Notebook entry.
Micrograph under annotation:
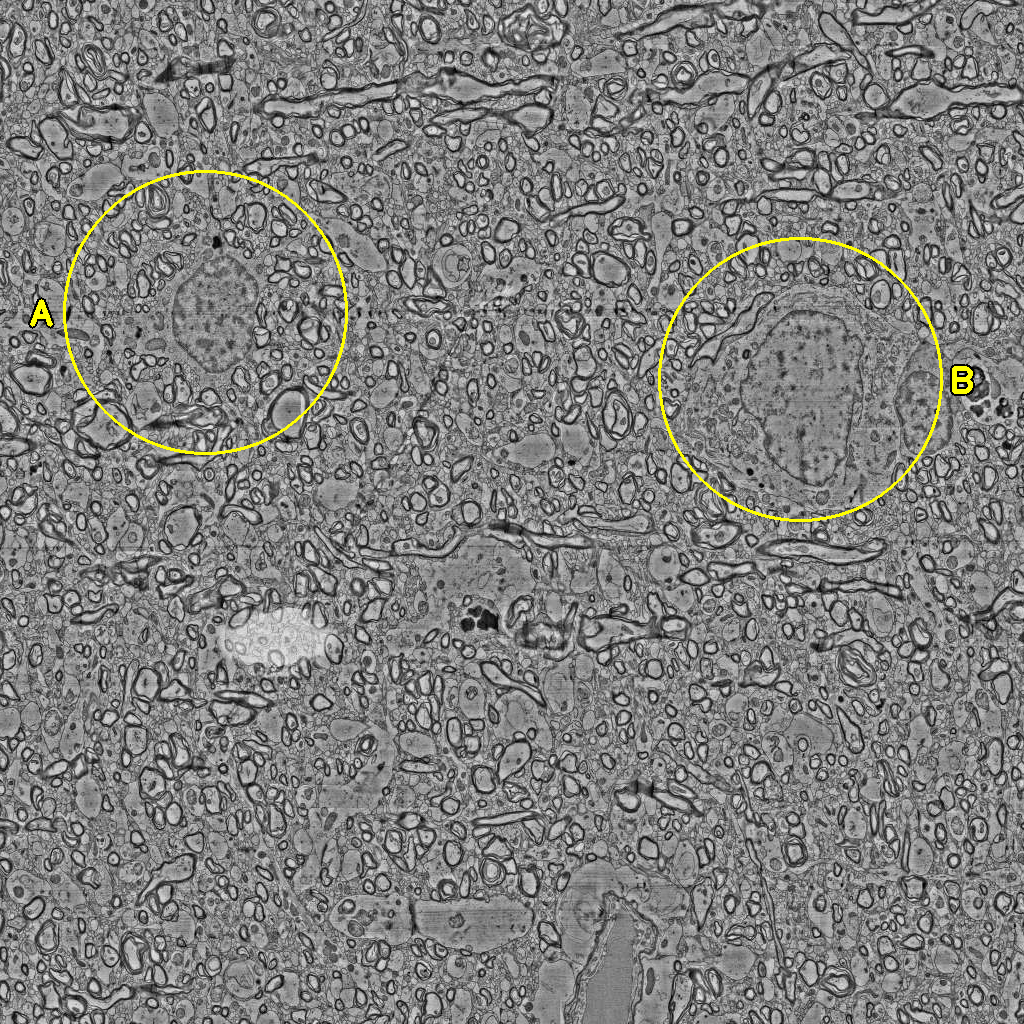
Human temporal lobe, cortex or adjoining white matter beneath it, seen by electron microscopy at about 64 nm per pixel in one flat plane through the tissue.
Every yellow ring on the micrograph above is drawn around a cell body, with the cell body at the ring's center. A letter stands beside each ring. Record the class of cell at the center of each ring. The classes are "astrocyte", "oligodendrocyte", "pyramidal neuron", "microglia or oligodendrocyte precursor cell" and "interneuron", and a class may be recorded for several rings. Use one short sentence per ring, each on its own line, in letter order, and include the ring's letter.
Ring A is centered on an oligodendrocyte.
Ring B is centered on an interneuron.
